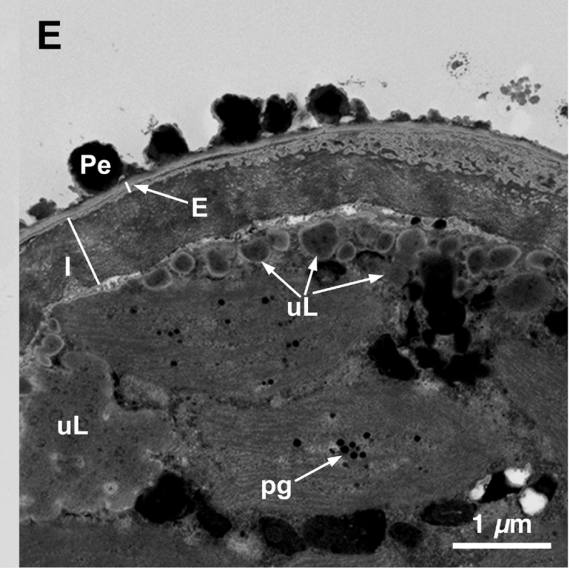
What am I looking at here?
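At the top a thin outer wall line carries dark rounded lumps, and beneath it lies a broad fibrous grey wall layer whose inner border is irregular. Below, a row of rounded pale-rimmed droplets lines the cytoplasm next to an organelle with parallel membrane stacks holding small black dots.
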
